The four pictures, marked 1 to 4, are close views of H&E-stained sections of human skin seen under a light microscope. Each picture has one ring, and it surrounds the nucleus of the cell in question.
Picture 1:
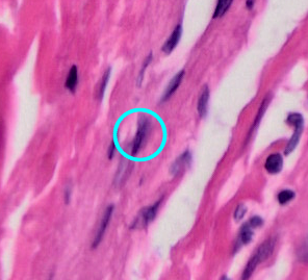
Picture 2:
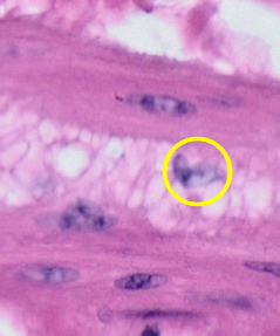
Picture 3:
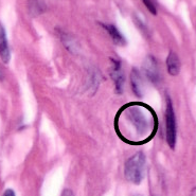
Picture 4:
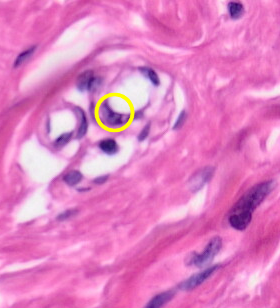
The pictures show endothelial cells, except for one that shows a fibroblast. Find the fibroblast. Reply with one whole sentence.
The picture with the fibroblast is 2.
